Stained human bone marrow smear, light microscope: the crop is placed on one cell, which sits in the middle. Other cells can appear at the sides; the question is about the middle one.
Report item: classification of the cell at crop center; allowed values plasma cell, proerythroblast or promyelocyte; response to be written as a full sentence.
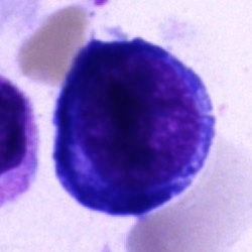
The centered cell in this crop is a proerythroblast.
